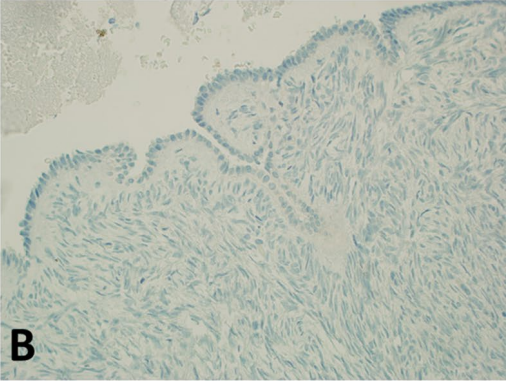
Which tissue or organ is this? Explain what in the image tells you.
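Ovary. A single layer of small cuboidal cells lines a free, undulating surface. Beneath it lies a dense stroma of closely packed spindle cells in swirling bundles.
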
